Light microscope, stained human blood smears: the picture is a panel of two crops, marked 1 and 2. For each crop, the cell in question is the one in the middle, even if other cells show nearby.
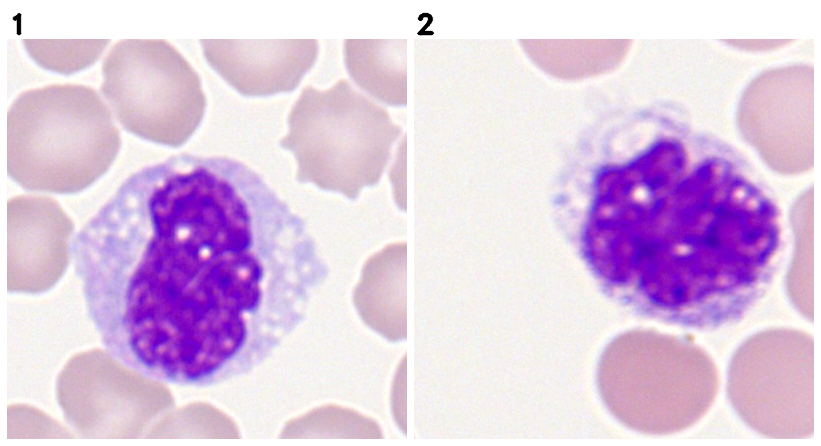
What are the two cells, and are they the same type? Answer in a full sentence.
Yes, the middle cells in the two crops are monocytes.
